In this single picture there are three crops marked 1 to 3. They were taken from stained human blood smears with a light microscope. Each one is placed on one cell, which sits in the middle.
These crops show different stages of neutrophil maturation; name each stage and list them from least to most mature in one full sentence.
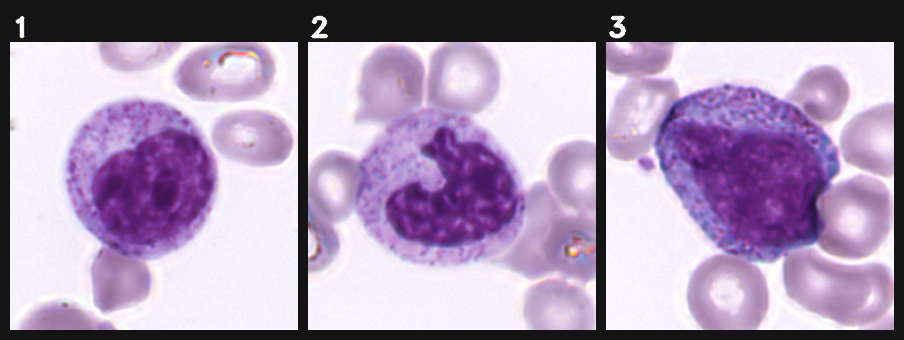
The order of maturity, beginning with the least mature, is crop 3 (a promyelocyte), crop 1 (a metamyelocyte) and crop 2 (a band neutrophil).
